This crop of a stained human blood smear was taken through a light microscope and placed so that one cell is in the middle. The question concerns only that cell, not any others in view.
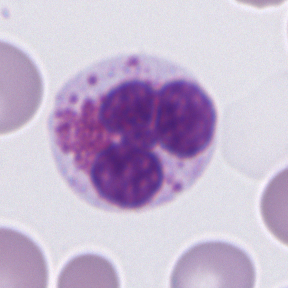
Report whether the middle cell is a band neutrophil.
no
